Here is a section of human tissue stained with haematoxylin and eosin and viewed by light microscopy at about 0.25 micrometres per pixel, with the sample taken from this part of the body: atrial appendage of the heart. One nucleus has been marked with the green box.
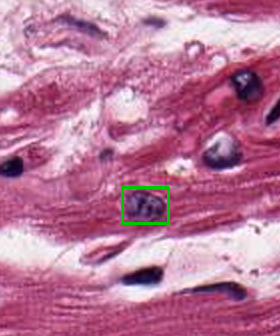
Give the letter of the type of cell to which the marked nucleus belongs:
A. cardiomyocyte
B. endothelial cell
A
